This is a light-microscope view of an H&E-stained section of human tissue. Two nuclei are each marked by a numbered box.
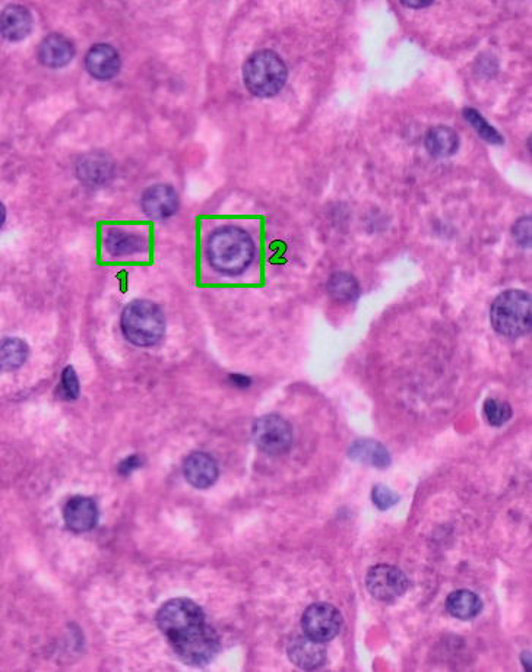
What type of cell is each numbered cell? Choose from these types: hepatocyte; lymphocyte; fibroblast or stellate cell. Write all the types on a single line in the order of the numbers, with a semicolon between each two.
fibroblast or stellate cell; hepatocyte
